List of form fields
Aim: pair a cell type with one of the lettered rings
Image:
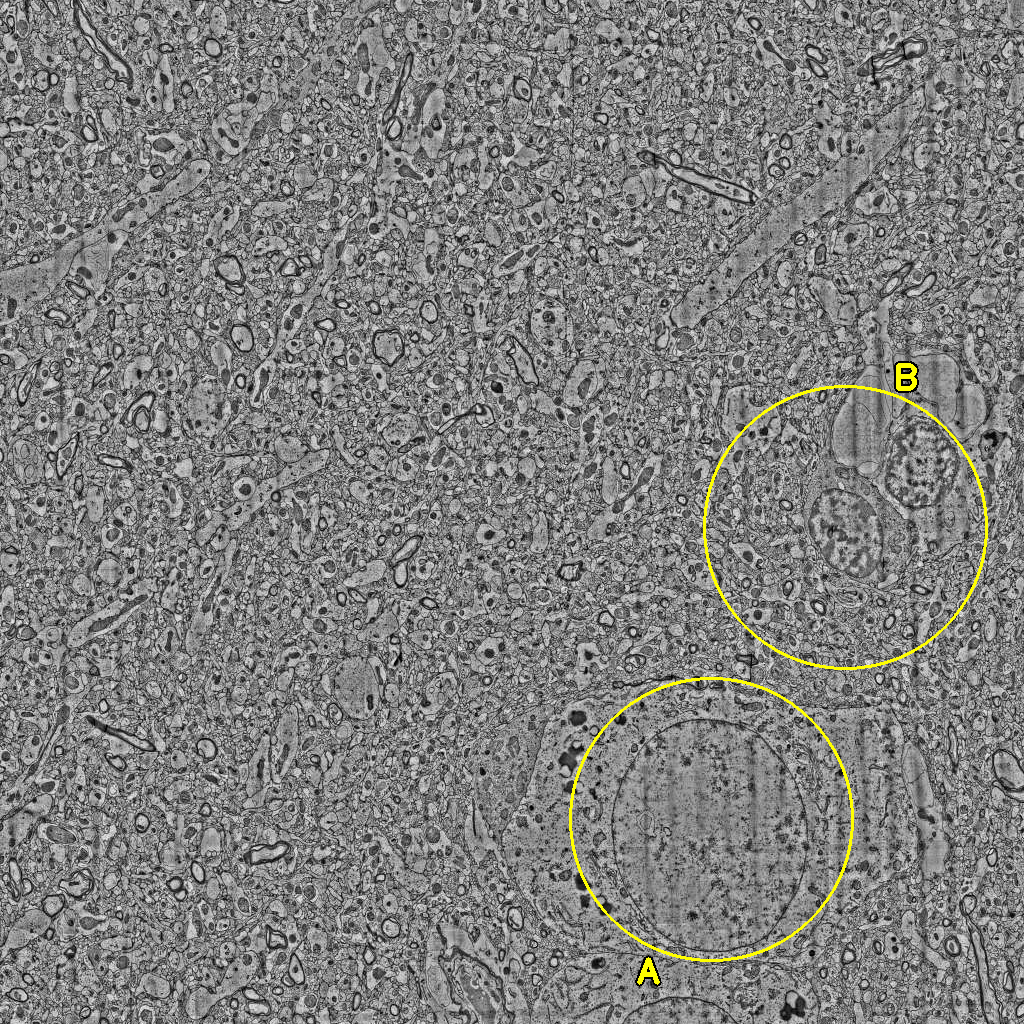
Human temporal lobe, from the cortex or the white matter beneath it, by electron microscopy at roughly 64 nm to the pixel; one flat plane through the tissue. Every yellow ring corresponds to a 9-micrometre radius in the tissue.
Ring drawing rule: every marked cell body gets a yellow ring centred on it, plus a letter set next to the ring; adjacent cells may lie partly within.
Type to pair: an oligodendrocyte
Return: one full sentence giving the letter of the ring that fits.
Ring B is the one whose central cell body is that kind of cell.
